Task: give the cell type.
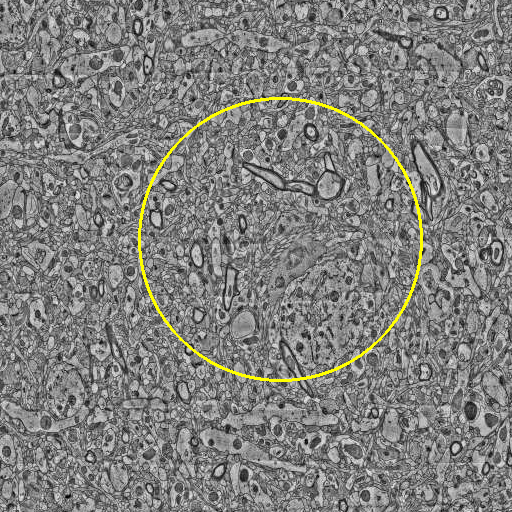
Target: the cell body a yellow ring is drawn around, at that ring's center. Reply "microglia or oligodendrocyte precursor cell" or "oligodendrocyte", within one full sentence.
In this picture, the cell whose body lies at the ring's center is an oligodendrocyte.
